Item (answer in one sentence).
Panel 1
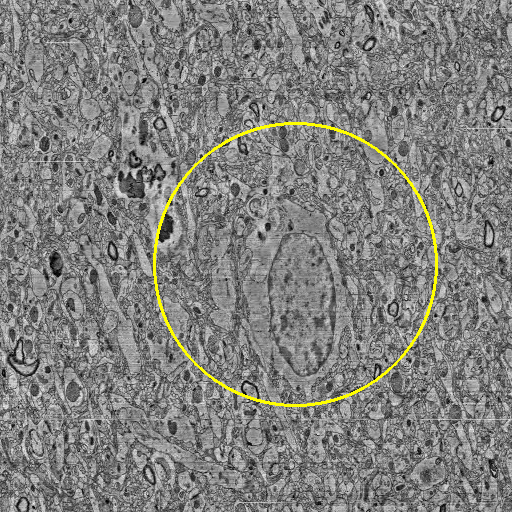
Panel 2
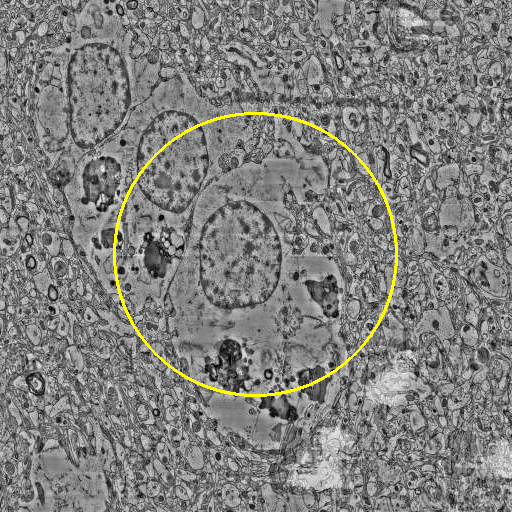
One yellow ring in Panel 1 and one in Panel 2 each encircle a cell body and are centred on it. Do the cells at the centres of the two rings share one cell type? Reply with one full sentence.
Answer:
Yes, Panel 1 and Panel 2 show cells of one type at the centres of their rings.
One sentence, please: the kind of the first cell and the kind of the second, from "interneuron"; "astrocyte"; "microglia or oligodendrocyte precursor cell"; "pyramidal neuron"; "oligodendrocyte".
In both pictures the ring is centred on an astrocyte.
